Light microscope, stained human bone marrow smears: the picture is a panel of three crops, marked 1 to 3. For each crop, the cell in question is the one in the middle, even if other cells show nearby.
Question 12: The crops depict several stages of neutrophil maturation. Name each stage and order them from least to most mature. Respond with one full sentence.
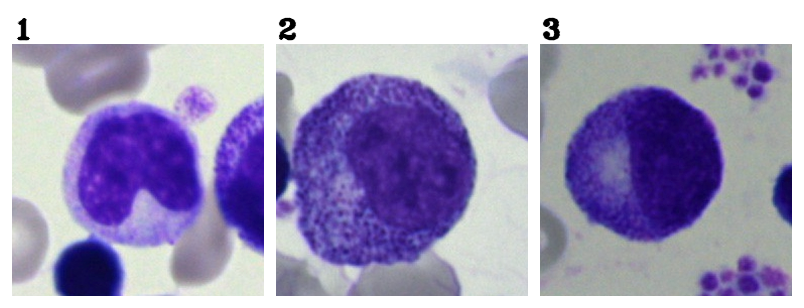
The sequence of maturity, beginning with the least mature, runs crop 2 (a promyelocyte), crop 3 (a myelocyte) and crop 1 (a metamyelocyte).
